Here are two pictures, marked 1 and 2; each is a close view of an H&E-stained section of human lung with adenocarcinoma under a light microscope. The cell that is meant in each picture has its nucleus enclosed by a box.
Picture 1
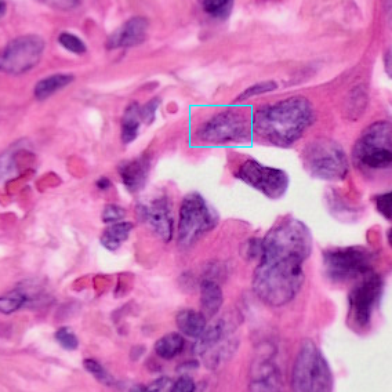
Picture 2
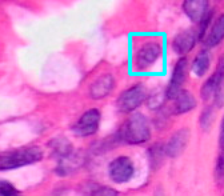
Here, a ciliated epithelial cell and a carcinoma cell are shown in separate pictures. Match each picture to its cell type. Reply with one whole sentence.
Picture 1 shows a carcinoma cell and picture 2 shows a ciliated epithelial cell.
